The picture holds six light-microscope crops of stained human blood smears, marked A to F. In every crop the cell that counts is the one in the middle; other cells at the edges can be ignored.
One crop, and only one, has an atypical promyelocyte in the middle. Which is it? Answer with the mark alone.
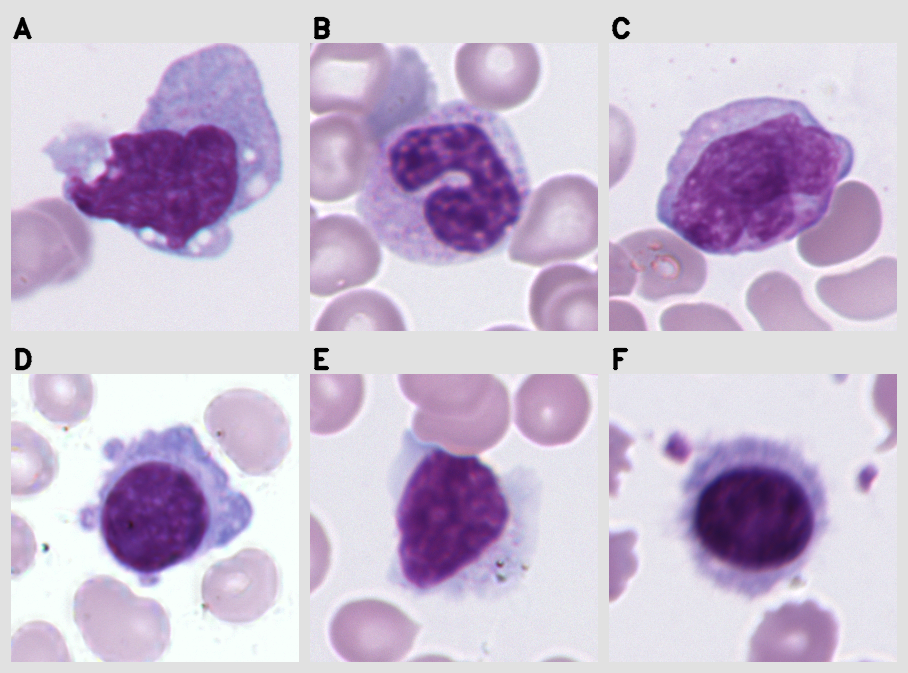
C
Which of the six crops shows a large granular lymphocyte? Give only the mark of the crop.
E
